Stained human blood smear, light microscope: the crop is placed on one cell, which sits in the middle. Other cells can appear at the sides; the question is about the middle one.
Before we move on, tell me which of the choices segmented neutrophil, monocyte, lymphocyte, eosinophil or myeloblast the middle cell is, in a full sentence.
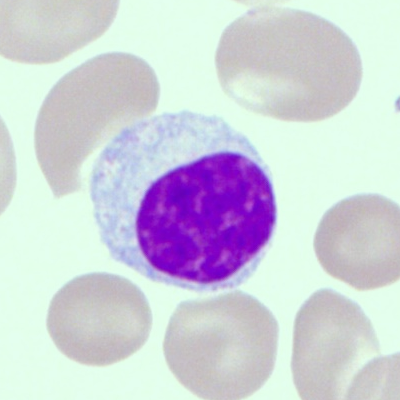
Positioned in the middle of the crop is a lymphocyte.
